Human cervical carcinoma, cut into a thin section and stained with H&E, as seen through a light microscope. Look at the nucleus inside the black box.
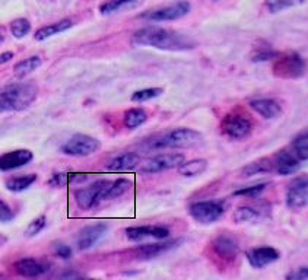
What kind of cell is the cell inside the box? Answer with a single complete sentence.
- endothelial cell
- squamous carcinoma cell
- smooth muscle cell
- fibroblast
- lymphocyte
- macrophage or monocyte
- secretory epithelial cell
Cytologically, the cell inside the box is to be regarded as an endothelial cell.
